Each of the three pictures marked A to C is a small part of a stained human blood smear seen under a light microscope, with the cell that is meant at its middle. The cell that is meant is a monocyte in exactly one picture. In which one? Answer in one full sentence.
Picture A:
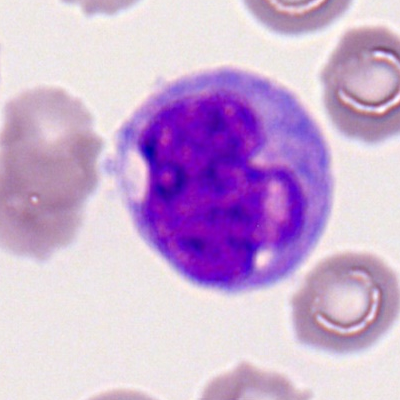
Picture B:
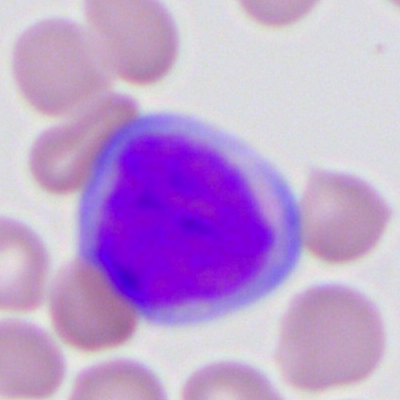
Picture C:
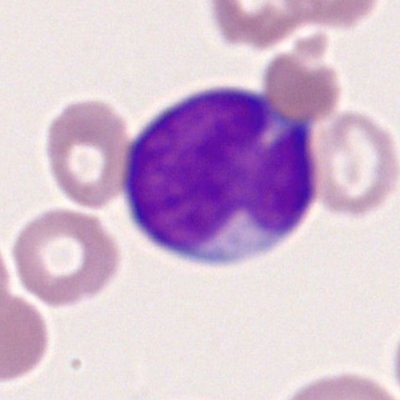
The monocyte is the one in picture A.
